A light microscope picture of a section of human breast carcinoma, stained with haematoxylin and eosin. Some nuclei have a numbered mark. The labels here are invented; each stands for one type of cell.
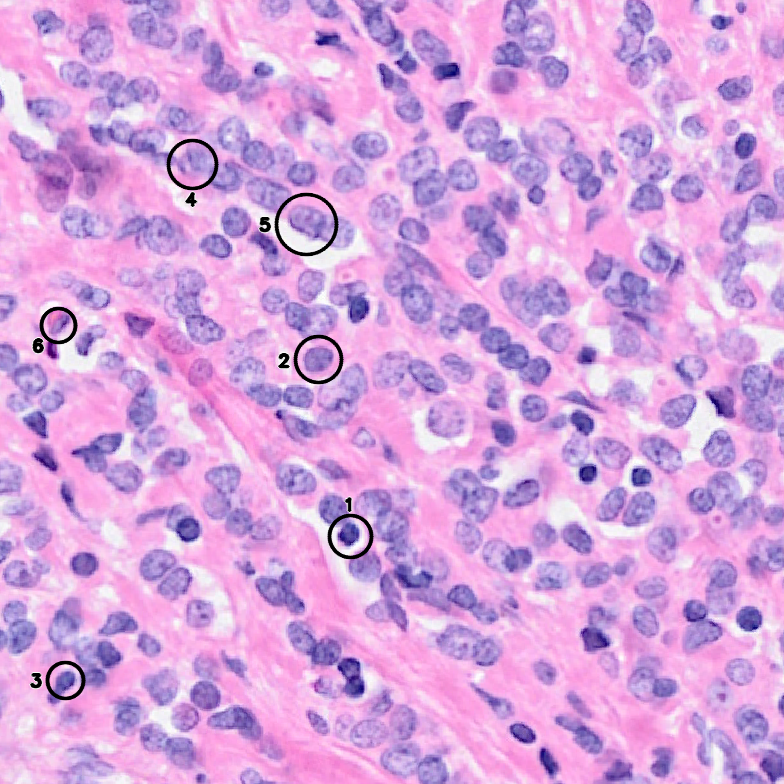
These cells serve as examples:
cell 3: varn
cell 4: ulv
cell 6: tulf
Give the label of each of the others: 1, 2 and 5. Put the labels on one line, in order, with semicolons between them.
varn; ulv; ulv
